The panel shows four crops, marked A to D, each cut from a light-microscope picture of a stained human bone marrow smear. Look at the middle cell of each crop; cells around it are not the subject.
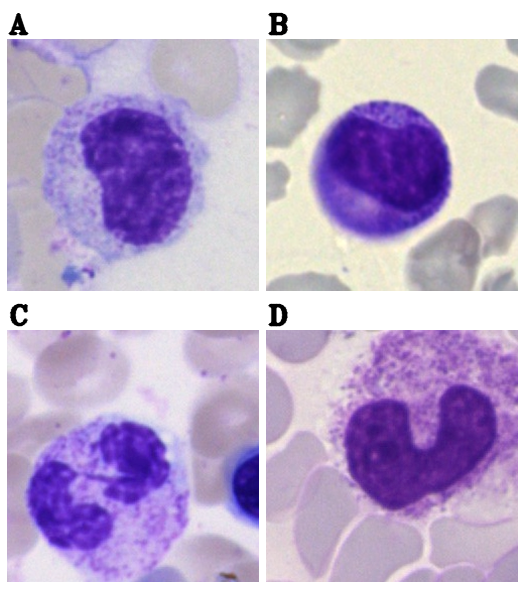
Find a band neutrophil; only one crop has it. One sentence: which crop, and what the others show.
Crop D exhibits a band neutrophil, while crop A is a metamyelocyte, crop B is a myelocyte and crop C is a segmented neutrophil.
